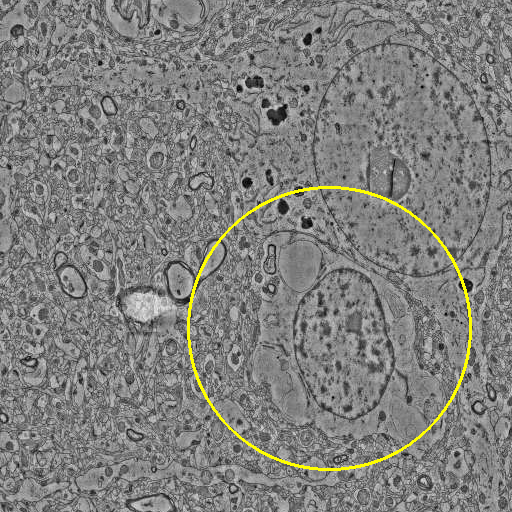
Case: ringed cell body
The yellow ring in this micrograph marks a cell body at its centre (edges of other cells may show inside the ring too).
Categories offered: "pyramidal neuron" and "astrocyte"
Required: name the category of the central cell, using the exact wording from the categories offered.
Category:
astrocyte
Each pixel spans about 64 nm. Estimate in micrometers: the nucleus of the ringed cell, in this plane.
In this plane the nucleus measures about 10 by 6 micrometres and is clearly longer than it is wide.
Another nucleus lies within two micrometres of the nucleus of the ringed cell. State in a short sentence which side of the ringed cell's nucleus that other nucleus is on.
That other nucleus sits to the upper right of it.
